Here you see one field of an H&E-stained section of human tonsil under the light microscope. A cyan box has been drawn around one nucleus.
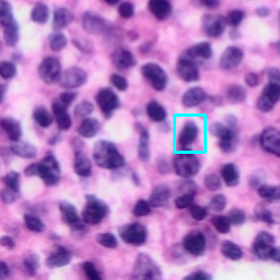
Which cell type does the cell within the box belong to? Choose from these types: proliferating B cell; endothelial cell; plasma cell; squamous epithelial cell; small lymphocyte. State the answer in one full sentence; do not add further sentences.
The cell type of the cell within the box is that of a proliferating B cell.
